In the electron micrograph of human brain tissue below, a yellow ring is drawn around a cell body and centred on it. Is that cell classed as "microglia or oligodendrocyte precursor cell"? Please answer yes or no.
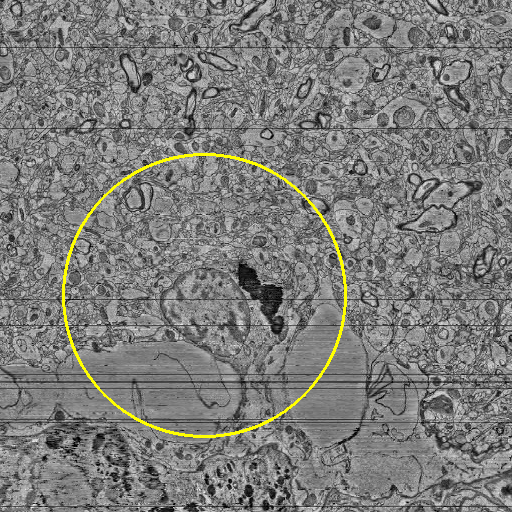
no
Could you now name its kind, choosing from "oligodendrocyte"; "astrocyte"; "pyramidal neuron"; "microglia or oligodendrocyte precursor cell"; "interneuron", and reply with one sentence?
Instead, what sits at the centre of the ring is an oligodendrocyte.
